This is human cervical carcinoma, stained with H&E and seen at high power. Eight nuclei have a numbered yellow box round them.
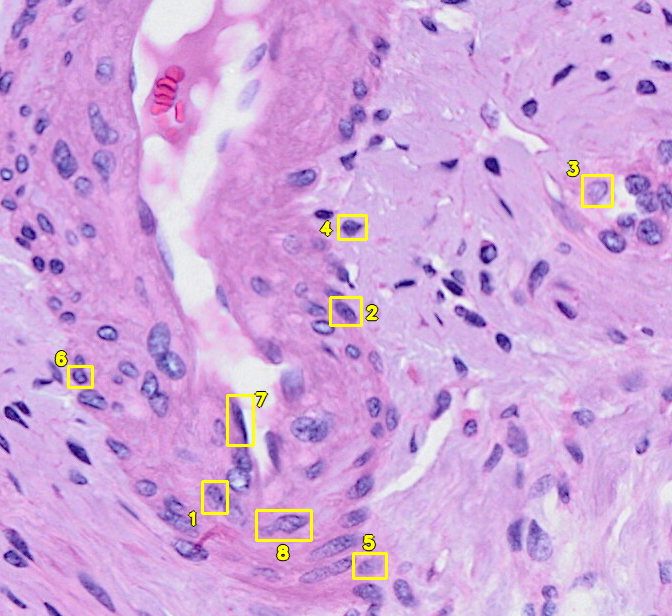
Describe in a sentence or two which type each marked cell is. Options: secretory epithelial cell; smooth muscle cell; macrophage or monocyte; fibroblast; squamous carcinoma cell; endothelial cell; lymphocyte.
Cell 1 is a smooth muscle cell, cell 2 is a smooth muscle cell, cell 3 is an endothelial cell, cell 4 is a fibroblast, cell 5 is a smooth muscle cell, cell 6 is a smooth muscle cell, cell 7 is an endothelial cell and cell 8 is a smooth muscle cell.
